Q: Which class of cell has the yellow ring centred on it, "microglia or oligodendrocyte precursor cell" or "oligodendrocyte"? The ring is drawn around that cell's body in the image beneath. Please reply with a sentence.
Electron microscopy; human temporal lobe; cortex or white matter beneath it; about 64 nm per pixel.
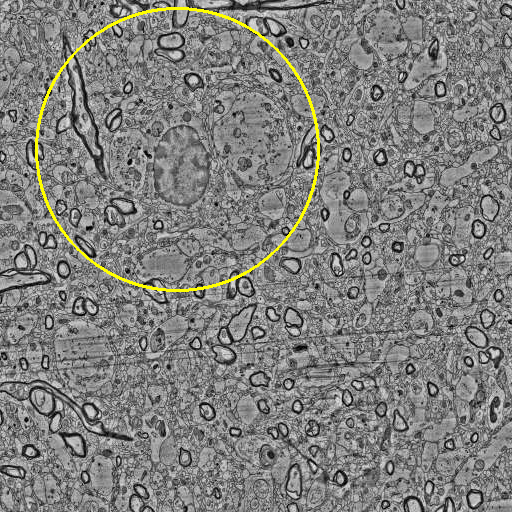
It is centred on an oligodendrocyte.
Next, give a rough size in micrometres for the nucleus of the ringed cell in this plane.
About 5 micrometres by about 4 micrometres in this plane.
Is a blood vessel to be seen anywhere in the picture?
No, no blood vessel shows in the picture.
